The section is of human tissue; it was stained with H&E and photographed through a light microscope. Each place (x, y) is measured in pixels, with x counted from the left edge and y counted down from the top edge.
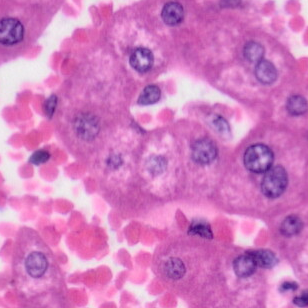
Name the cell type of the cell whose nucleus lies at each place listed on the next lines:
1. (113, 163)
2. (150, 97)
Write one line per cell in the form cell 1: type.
cell 1: hepatocyte
cell 2: Kupffer cell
